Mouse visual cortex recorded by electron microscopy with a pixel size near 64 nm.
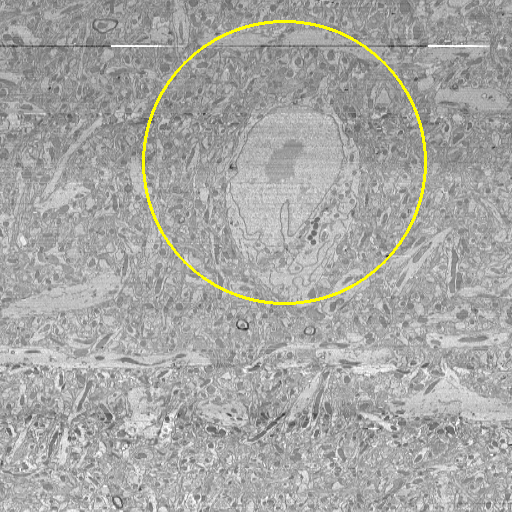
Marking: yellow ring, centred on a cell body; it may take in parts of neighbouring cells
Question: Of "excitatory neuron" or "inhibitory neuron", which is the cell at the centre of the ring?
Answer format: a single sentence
The ring surrounds the body of an inhibitory neuron.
